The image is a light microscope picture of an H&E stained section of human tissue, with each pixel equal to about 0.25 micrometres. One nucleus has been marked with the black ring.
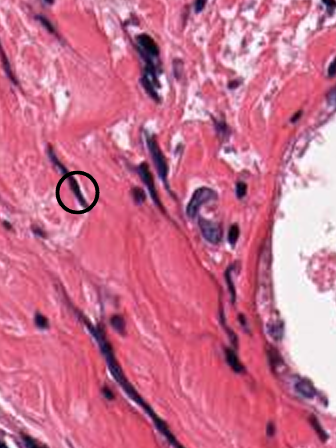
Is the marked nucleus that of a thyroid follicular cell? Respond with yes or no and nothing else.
no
